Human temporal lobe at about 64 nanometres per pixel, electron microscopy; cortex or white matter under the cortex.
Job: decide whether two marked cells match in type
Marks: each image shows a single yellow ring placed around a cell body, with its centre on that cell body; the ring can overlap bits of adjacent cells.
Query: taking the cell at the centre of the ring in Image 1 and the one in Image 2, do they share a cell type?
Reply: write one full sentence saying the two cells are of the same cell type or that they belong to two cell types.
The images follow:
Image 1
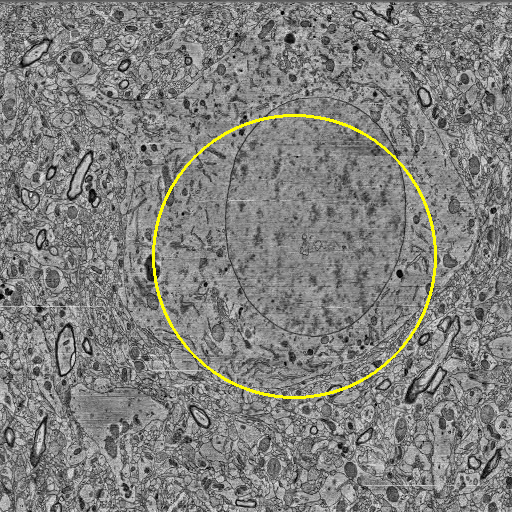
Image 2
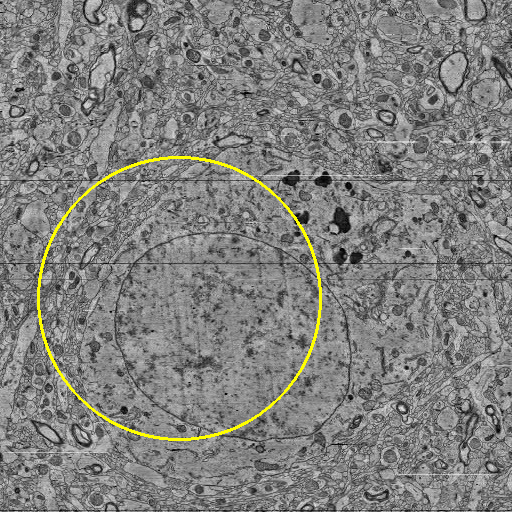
The cells at the ring centres in Image 1 and Image 2 are of the same cell type.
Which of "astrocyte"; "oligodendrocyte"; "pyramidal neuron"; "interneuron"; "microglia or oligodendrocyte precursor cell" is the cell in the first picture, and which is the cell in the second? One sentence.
In each of the two pictures, the ringed cell is a pyramidal neuron.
